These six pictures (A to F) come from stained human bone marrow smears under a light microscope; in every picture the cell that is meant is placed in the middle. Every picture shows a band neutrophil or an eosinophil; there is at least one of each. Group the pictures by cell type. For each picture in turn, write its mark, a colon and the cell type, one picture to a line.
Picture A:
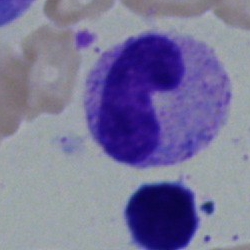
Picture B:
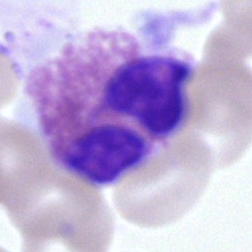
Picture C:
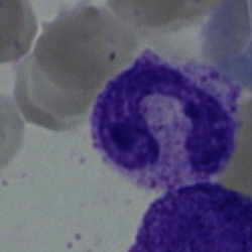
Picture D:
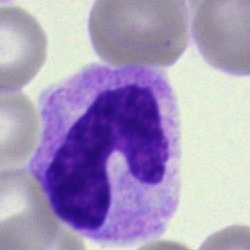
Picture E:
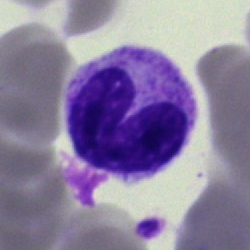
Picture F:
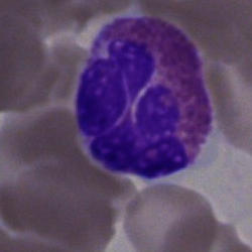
A: band neutrophil
B: eosinophil
C: band neutrophil
D: band neutrophil
E: band neutrophil
F: eosinophil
